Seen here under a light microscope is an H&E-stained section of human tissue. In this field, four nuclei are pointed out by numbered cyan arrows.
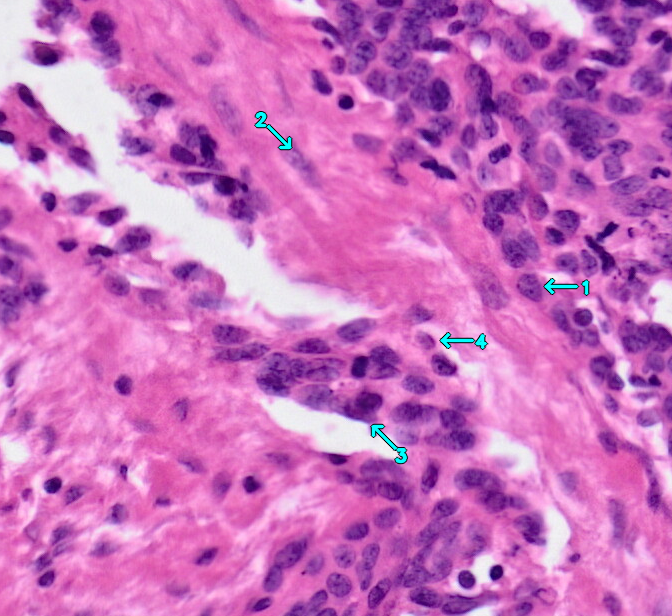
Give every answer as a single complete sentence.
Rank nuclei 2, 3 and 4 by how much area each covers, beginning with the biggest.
The nuclei rank 3, 2, 4, from largest to smallest.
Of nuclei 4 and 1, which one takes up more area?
Nucleus 1 is larger, with an area about 2 times that of nucleus 4.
